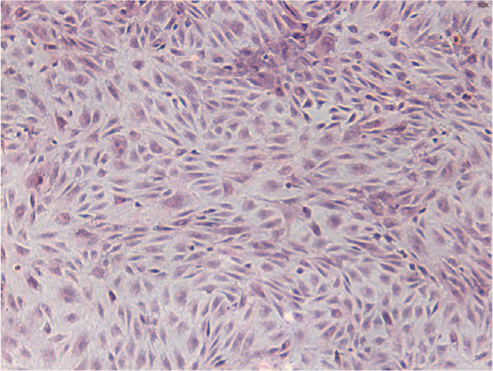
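The cells are mostly spindle-shaped to polygonal, with pale pink cytoplasm drawn out into tapering ends, and each holds a single oval, purplish nucleus near its centre. Neighbouring cells lie close together and in many areas line up in roughly parallel streams, giving a swirling pattern across the field. Scattered patches look darker where cells pile up or overlap.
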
